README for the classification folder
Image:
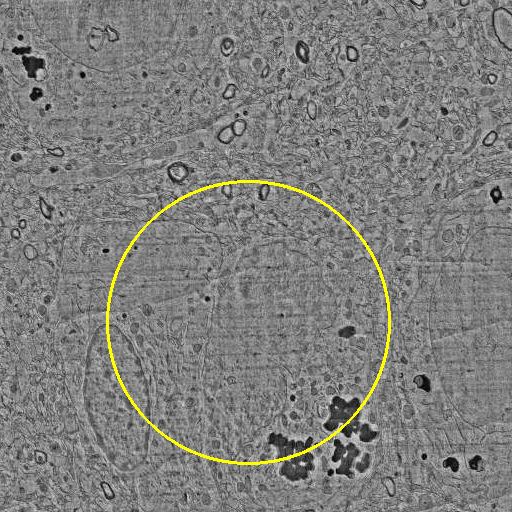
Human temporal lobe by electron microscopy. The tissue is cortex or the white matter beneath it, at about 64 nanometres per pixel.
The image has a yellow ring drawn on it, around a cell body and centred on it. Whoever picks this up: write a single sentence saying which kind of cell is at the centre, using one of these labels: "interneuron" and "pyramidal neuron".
This cell body is that of an interneuron.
